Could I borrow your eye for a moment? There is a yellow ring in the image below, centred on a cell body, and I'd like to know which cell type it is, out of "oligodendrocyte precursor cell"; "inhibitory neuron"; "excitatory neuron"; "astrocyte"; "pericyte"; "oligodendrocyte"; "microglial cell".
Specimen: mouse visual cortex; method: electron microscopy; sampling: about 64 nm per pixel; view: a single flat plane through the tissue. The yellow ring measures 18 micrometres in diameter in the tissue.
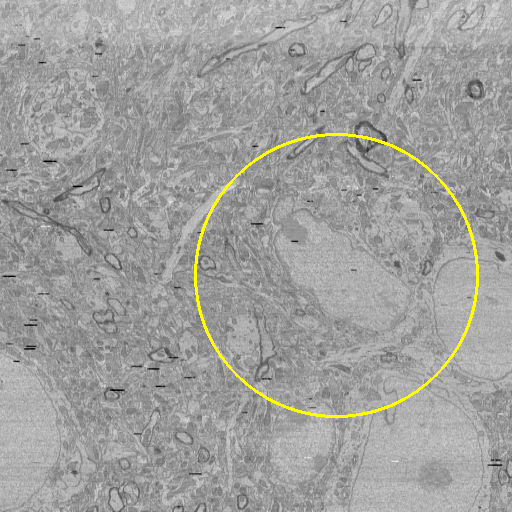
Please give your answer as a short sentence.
The cell body at the centre is that of an oligodendrocyte precursor cell.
